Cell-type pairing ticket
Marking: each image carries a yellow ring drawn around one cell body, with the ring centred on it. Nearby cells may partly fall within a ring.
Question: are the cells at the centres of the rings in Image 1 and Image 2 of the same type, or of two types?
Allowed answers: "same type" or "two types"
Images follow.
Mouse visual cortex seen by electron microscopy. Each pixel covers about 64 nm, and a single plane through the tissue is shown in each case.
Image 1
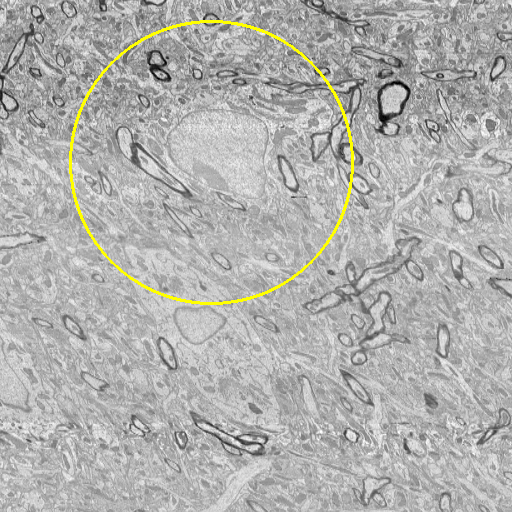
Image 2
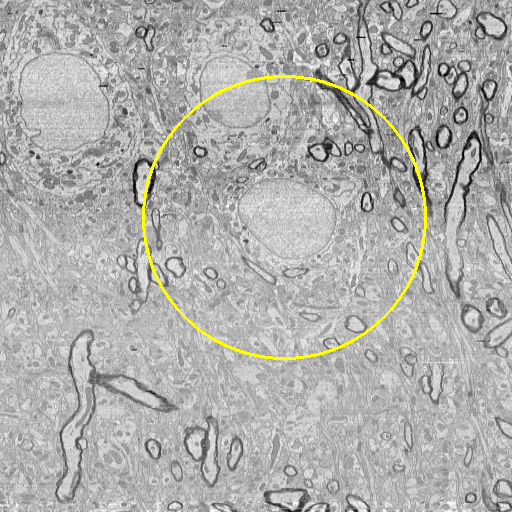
same type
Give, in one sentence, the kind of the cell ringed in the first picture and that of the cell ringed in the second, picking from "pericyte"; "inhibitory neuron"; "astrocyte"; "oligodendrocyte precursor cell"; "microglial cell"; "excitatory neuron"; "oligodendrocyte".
The cell in the first picture is an astrocyte, and so is the one in the second.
